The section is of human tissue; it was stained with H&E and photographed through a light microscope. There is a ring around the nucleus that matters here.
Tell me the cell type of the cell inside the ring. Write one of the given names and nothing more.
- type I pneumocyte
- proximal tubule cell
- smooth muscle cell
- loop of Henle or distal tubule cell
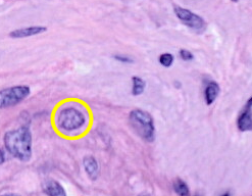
smooth muscle cell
